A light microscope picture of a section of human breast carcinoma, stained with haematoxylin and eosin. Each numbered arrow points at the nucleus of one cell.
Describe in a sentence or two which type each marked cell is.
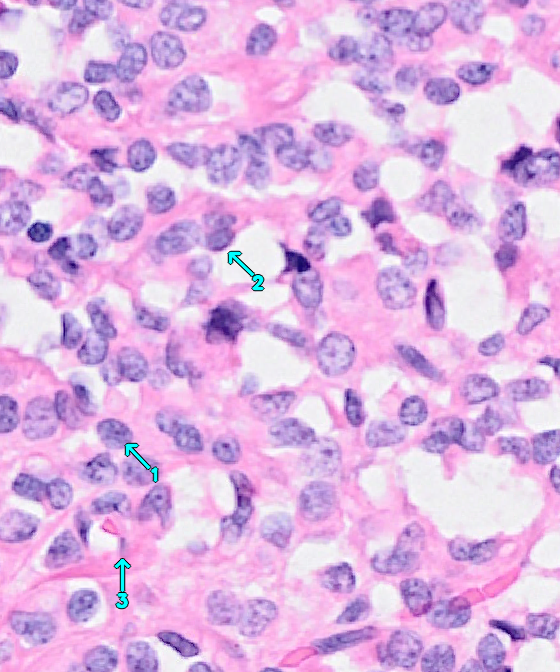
Cells 1 and 2 are carcinoma cells. Cell 3 is an endothelial cell.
